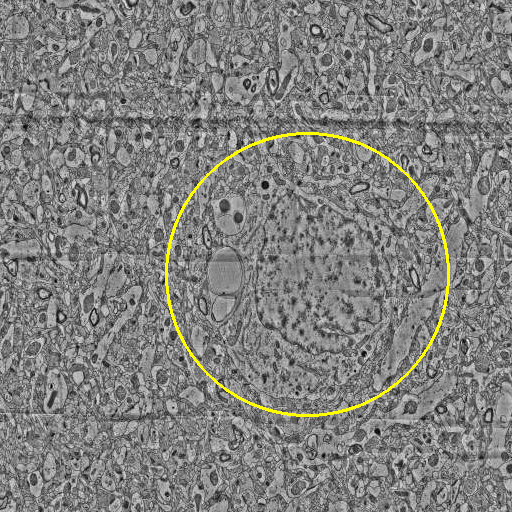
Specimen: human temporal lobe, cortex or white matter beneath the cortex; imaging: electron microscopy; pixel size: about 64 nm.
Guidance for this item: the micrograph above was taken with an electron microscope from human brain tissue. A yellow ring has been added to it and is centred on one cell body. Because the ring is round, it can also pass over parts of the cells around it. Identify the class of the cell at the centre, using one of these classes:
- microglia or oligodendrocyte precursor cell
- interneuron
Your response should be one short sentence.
The ring surrounds the body of an interneuron.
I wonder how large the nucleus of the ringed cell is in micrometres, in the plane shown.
The nucleus appears roughly 10 by 9 micrometres in this plane.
